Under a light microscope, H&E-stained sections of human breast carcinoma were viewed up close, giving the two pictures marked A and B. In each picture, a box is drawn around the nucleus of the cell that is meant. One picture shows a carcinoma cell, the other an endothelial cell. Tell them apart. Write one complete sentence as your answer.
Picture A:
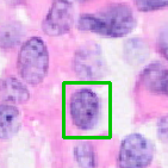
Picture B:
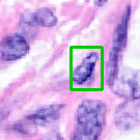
In picture A the cell is a carcinoma cell; in picture B, an endothelial cell.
